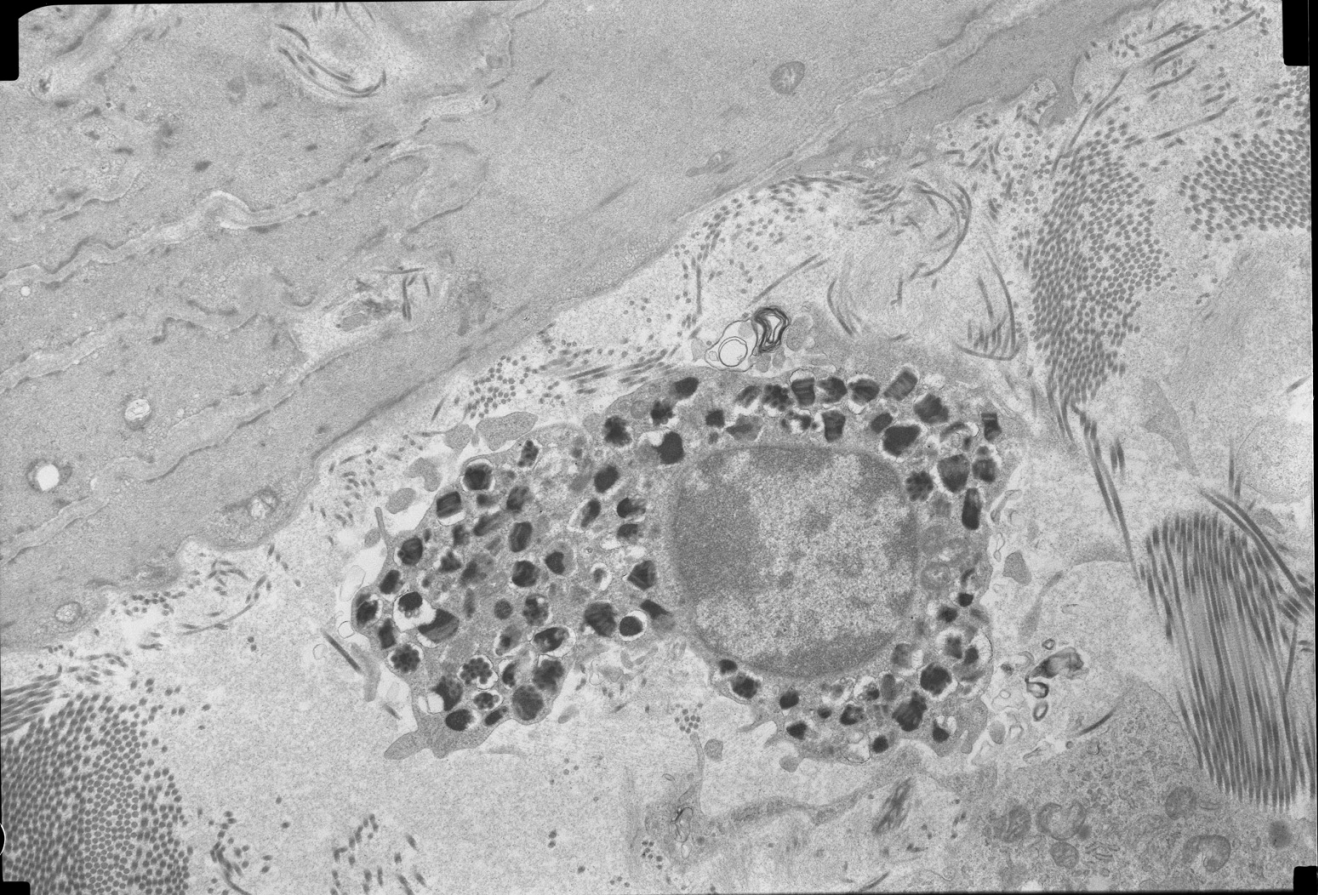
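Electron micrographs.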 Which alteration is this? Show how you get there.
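Piecemeal degranulation. Many granules are only partly filled, with pale lucent areas inside the granule membrane. Some granule chambers appear almost empty and pale. The granules are not fused with each other or released as a mass outside the cell.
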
